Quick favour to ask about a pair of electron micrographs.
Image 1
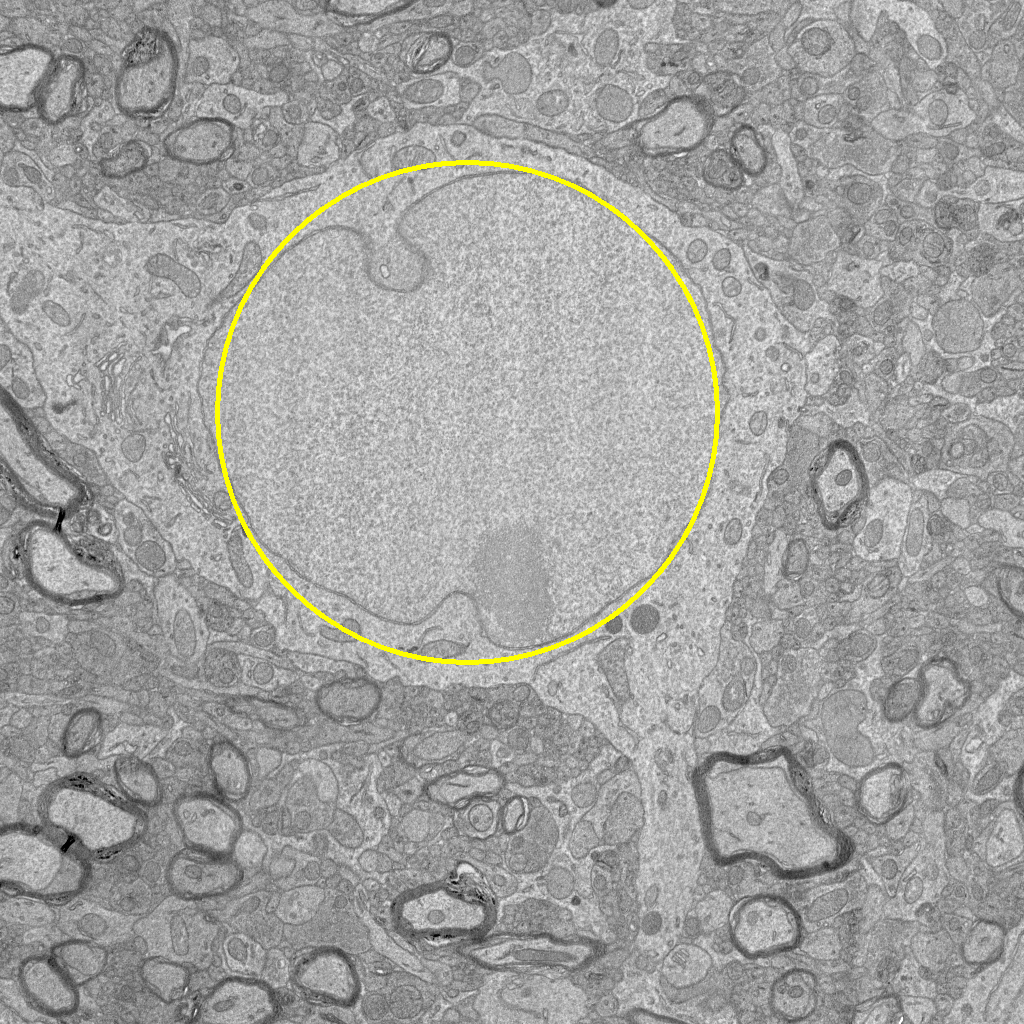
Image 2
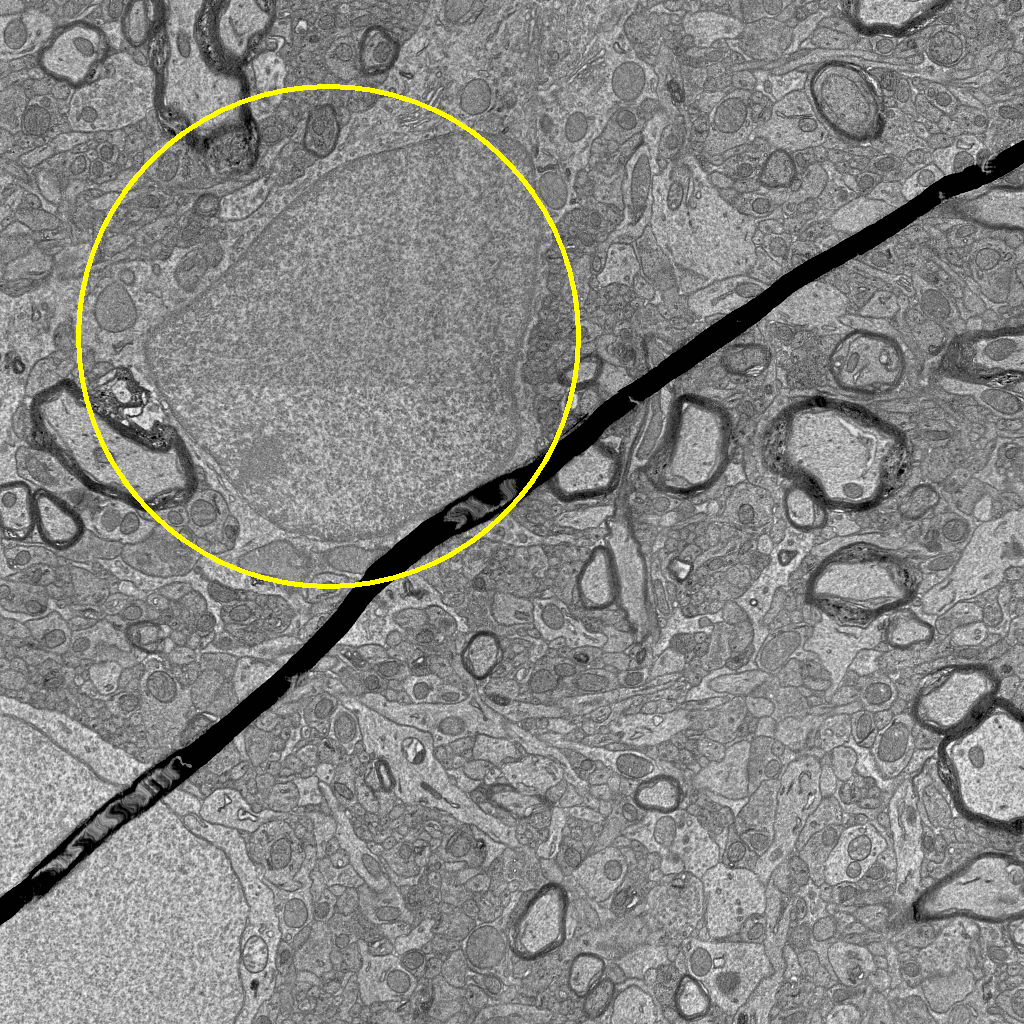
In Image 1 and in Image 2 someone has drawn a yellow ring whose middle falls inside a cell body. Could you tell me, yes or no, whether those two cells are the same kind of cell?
no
